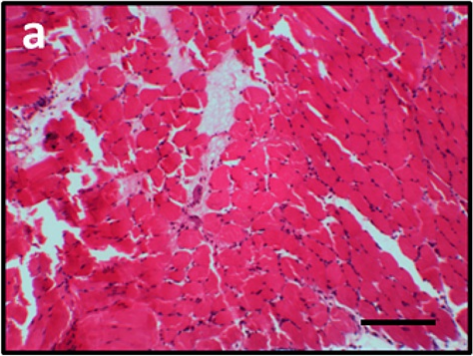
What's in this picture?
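This is skeletal muscle seen largely in cross and oblique section. The fibers are polygonal, closely packed and stain a uniform bright pink, each with a few small, flattened dark nuclei pressed against its edge rather than in the middle. Fibers are grouped into bundles, separated by narrow pale clefts and thin strands of loose connective tissue; toward one side the fibers run more lengthwise. A paler band of loose interstitial tissue with scattered nuclei crosses the field. There is no crowding of small cells between the fibers, and the fiber outlines are fairly even in size.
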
